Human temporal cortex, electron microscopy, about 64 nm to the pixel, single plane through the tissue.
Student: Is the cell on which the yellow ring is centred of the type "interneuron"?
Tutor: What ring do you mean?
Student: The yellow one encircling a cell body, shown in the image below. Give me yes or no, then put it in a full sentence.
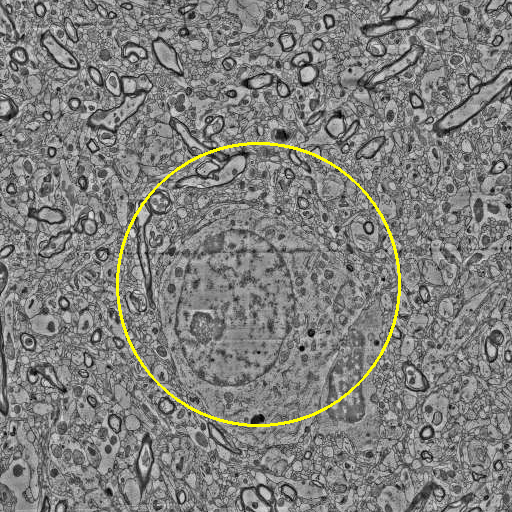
Yes, the cell on which the yellow ring in the image is centred has that type.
